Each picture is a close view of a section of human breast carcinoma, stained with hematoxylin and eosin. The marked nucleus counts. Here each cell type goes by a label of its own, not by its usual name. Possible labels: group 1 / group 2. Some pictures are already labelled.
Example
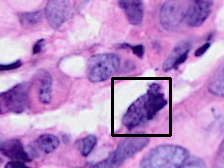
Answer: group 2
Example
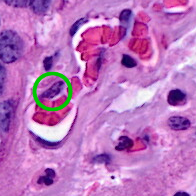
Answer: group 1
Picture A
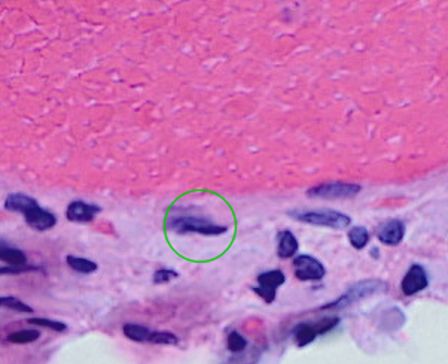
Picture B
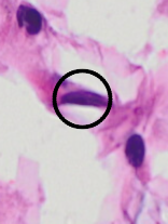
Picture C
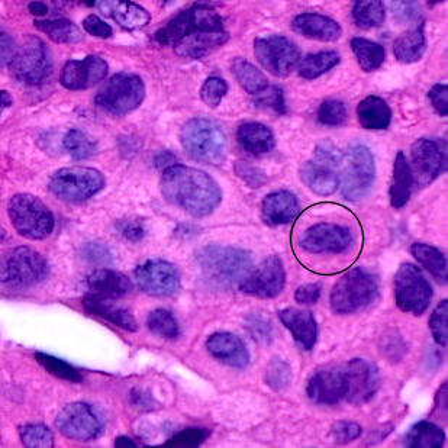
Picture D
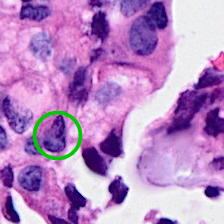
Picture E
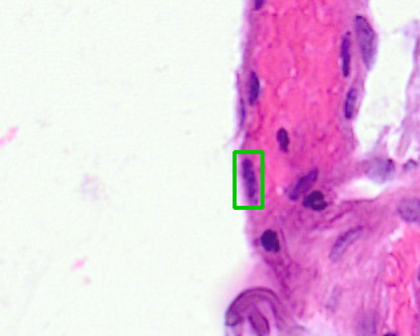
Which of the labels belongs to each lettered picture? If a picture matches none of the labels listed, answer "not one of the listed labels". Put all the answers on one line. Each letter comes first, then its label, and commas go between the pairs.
A not one of the listed labels, B group 1, C group 2, D group 2, E group 1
